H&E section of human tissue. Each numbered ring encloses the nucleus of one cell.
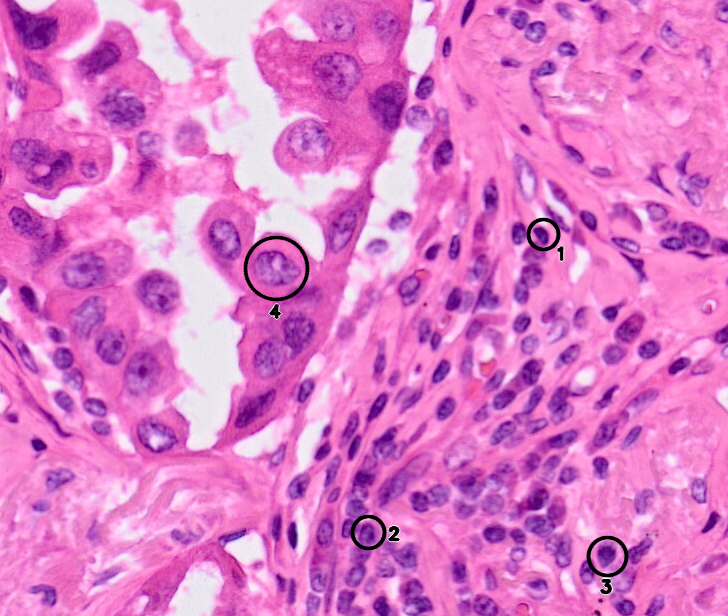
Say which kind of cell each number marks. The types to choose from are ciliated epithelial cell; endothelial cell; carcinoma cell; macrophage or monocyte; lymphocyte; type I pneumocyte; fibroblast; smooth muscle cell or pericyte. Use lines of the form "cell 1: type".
cell 1: lymphocyte
cell 2: lymphocyte
cell 3: lymphocyte
cell 4: carcinoma cell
